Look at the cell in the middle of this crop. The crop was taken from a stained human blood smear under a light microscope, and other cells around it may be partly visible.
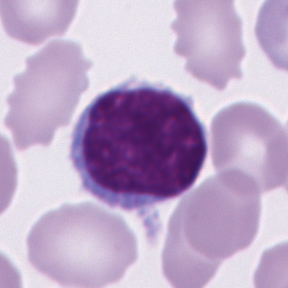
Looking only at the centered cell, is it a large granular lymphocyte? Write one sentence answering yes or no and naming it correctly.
No, in this crop the middle cell is a typical lymphocyte, not a large granular lymphocyte.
